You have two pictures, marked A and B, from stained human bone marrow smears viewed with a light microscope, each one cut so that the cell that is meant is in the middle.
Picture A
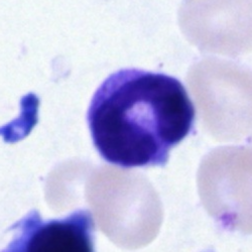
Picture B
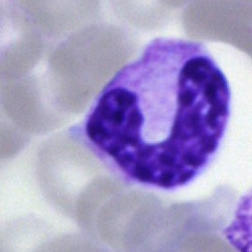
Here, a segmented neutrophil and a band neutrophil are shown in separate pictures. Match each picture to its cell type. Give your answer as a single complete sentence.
Picture B shows a band neutrophil, while picture A shows a segmented neutrophil.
